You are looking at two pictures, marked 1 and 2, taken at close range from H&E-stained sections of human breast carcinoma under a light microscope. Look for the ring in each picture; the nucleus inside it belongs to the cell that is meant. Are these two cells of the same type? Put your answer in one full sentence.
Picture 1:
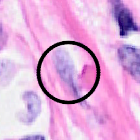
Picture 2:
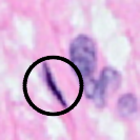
No, they differ: the cell is an endothelial cell in picture 1 and a fibroblast in picture 2.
